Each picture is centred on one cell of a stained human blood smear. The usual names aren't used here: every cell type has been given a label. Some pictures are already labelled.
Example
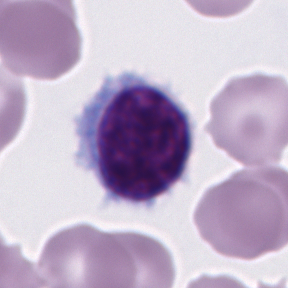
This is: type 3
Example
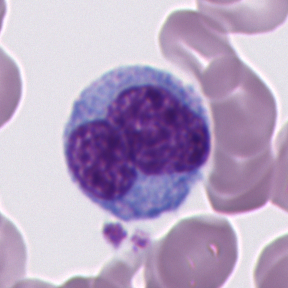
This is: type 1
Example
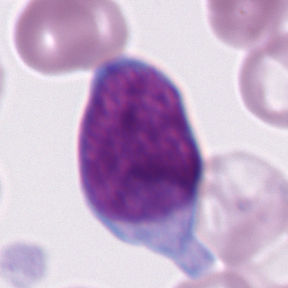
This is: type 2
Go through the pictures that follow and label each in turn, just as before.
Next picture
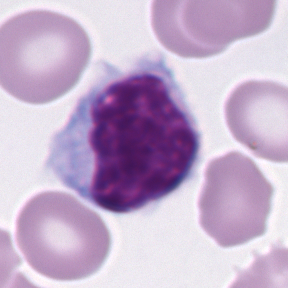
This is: type 3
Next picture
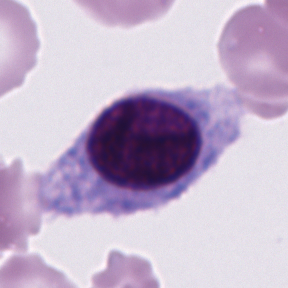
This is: type 3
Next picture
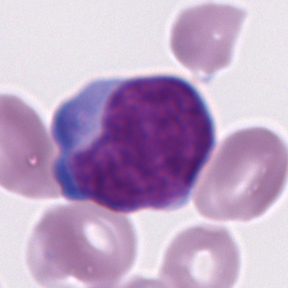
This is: type 2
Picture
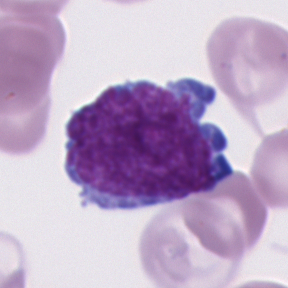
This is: type 2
